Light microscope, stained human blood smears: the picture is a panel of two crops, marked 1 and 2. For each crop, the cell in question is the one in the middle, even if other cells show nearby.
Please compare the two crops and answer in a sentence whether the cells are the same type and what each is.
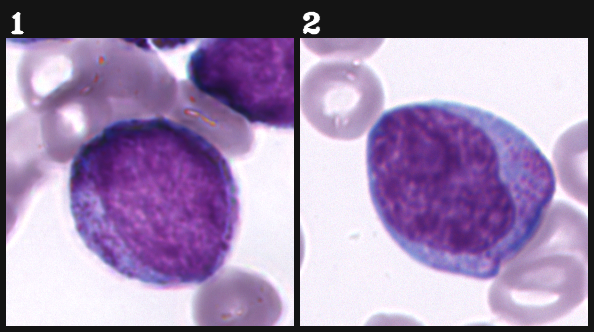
Yes, both crops show promyelocytes, to put it briefly.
